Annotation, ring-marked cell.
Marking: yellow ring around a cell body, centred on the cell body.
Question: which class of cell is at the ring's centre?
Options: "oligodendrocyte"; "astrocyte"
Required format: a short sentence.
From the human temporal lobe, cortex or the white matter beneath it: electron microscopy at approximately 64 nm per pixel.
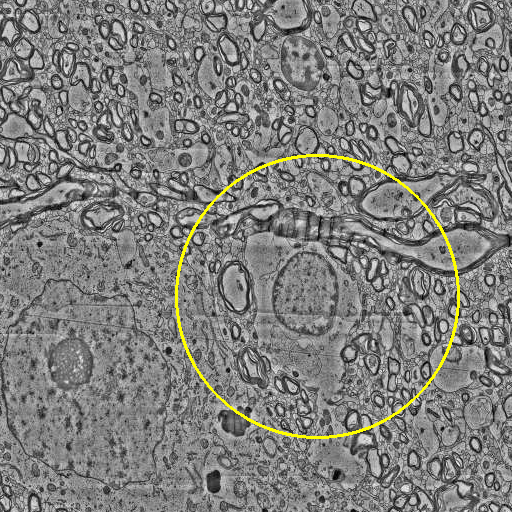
At the ring's centre is an astrocyte.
